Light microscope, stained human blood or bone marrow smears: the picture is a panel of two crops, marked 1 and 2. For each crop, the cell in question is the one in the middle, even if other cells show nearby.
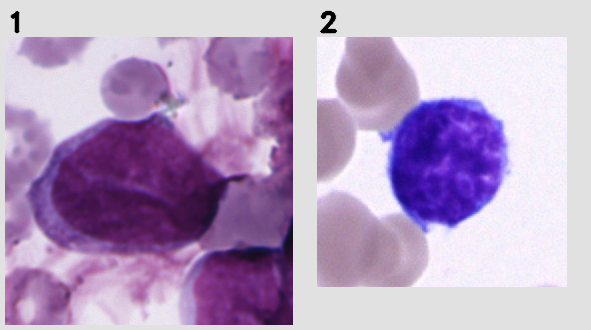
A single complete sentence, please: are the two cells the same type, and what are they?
Yes, both crops show blasts, the one and the other.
